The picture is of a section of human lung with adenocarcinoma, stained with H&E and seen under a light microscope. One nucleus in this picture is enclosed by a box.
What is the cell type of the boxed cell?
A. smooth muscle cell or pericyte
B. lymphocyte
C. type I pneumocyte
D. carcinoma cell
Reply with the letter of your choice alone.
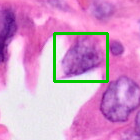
D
